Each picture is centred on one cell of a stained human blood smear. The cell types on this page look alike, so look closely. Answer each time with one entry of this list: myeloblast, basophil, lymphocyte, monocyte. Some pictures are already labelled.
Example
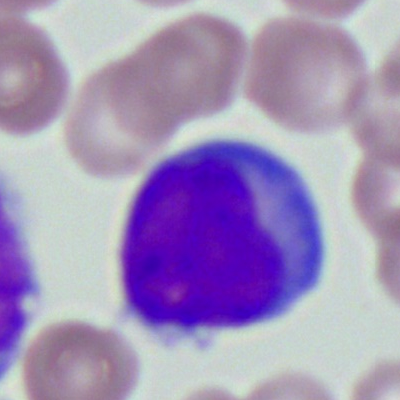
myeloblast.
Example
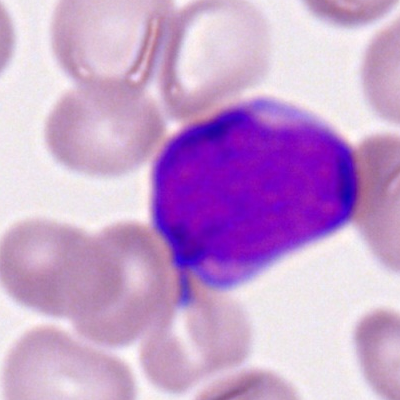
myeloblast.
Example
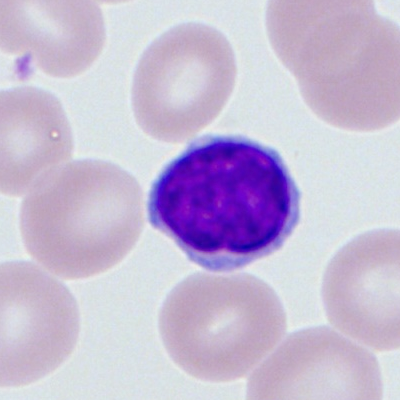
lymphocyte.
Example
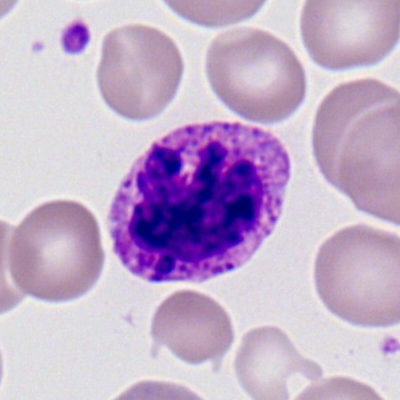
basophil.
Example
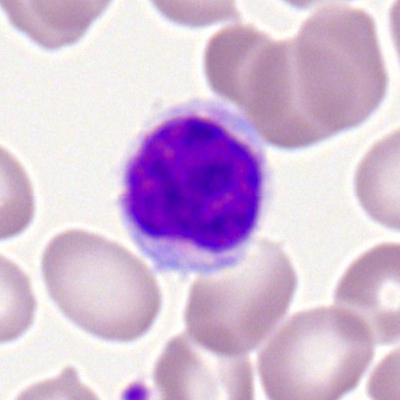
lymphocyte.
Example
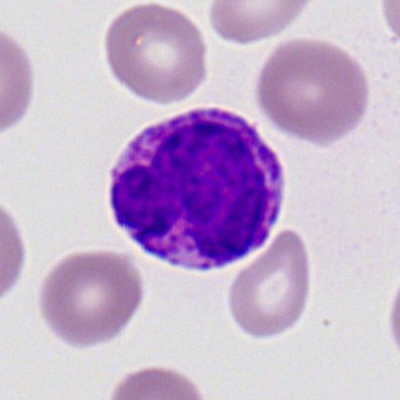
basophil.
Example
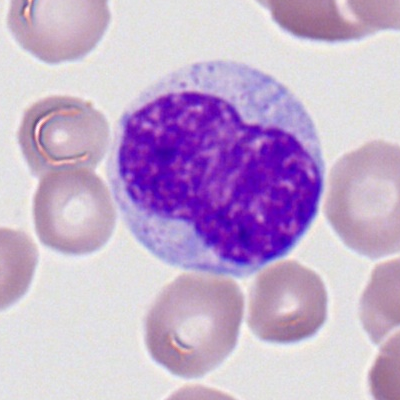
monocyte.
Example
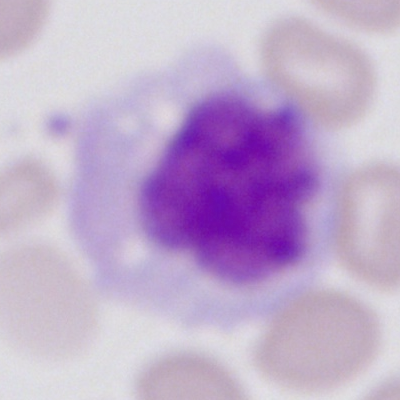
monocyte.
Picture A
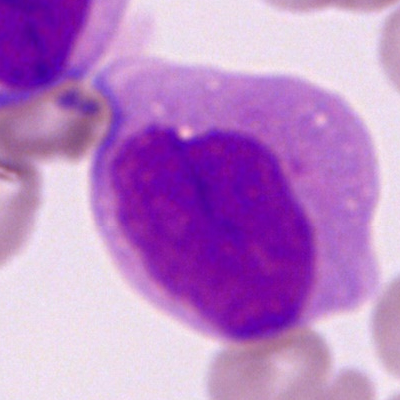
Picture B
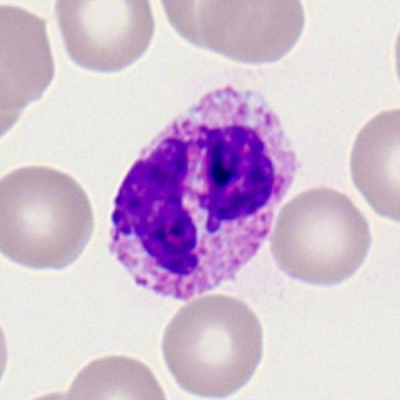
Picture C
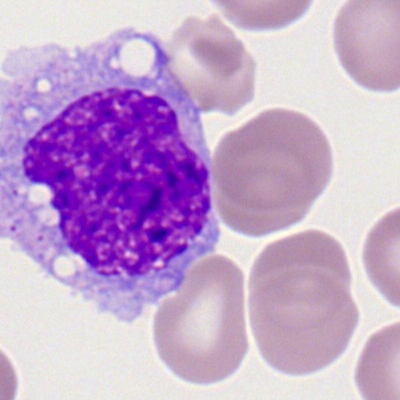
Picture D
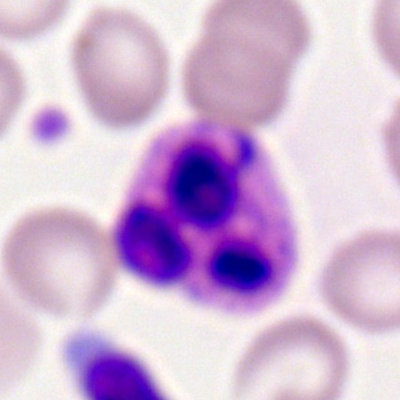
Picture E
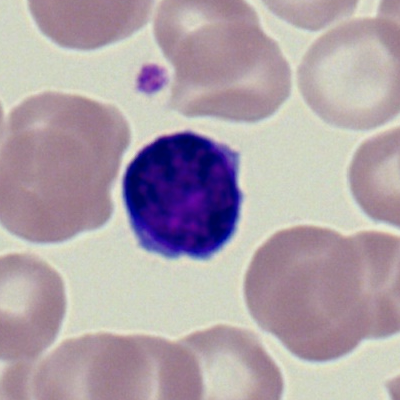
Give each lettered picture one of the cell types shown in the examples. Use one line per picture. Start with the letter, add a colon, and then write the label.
A: myeloblast.
B: basophil.
C: monocyte.
D: basophil.
E: lymphocyte.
